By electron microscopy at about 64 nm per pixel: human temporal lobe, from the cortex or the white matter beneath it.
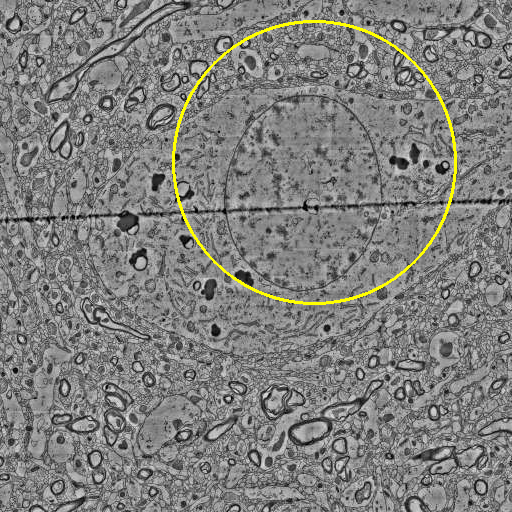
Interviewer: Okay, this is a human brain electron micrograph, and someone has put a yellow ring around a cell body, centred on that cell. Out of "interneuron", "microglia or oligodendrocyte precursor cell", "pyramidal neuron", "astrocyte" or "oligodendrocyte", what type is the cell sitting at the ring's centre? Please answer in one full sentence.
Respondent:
The cell at the centre of the yellow ring in this picture is a pyramidal neuron.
